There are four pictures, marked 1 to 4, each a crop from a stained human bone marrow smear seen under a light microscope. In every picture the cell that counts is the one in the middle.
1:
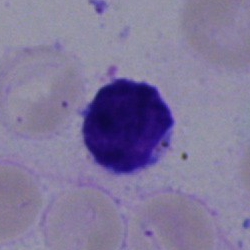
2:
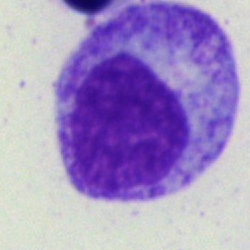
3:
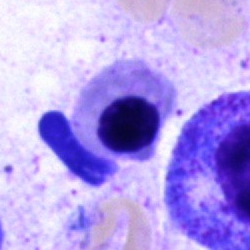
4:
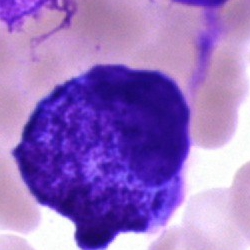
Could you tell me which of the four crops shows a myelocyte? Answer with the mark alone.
2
